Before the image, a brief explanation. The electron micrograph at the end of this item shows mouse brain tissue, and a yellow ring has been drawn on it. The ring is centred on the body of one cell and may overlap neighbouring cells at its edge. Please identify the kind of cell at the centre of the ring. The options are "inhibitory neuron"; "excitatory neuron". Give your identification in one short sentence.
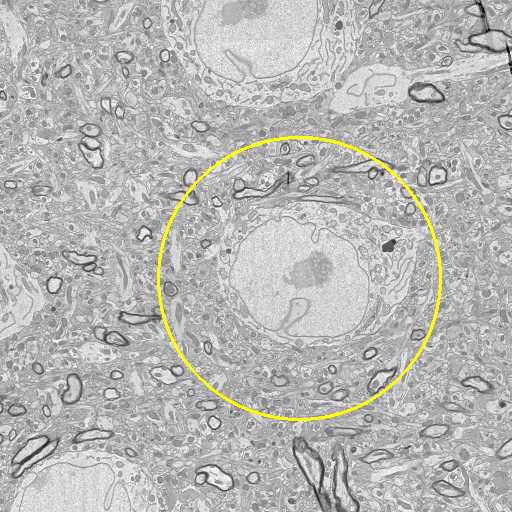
The ring has been placed around an inhibitory neuron.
